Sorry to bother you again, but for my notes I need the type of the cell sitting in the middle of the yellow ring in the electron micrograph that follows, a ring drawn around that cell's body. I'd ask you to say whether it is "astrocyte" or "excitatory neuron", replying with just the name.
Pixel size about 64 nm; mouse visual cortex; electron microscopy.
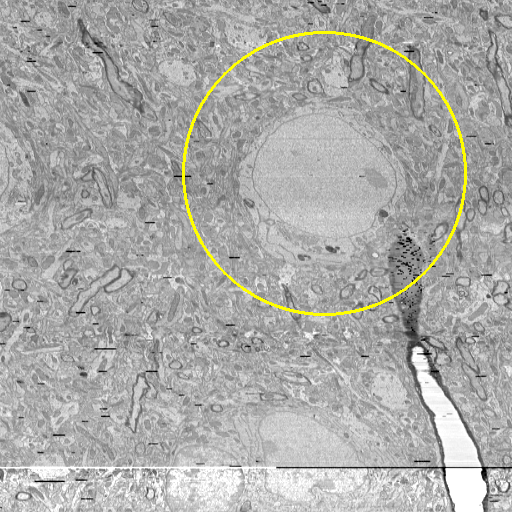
excitatory neuron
